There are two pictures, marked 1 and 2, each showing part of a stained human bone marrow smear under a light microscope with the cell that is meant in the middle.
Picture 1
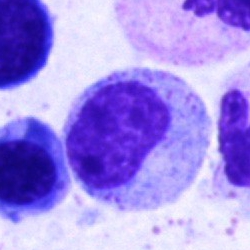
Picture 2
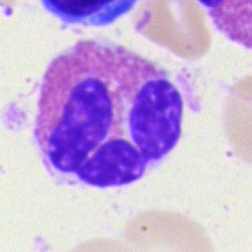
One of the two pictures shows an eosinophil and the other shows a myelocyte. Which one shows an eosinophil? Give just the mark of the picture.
2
